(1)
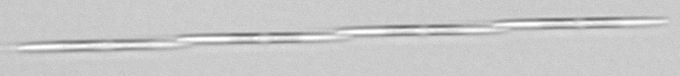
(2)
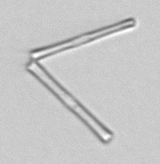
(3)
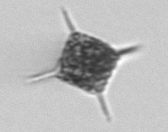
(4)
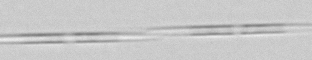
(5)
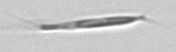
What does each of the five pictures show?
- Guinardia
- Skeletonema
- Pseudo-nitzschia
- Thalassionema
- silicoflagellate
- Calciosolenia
(1) Pseudo-nitzschia
(2) Thalassionema
(3) silicoflagellate
(4) Pseudo-nitzschia
(5) Calciosolenia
